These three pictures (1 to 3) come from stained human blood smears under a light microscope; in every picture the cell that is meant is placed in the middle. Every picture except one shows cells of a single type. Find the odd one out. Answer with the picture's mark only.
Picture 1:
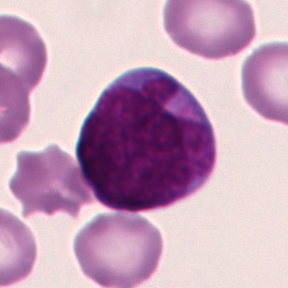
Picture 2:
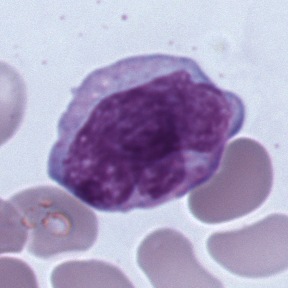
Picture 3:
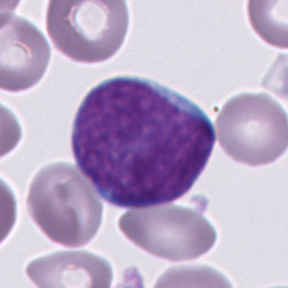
2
